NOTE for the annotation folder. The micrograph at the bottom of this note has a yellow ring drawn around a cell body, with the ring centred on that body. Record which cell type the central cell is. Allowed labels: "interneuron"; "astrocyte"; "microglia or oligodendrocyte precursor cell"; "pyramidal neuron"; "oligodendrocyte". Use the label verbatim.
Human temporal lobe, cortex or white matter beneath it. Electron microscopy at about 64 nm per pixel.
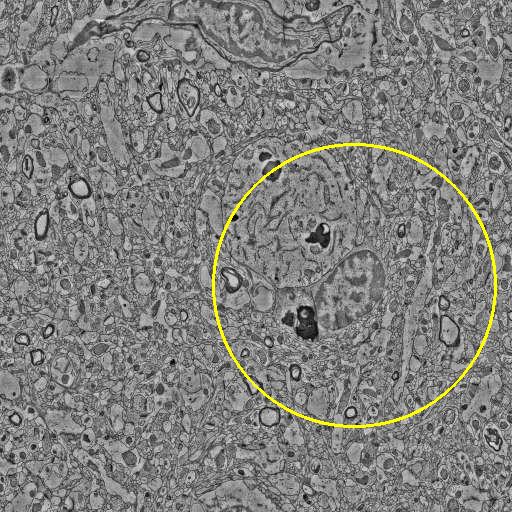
oligodendrocyte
